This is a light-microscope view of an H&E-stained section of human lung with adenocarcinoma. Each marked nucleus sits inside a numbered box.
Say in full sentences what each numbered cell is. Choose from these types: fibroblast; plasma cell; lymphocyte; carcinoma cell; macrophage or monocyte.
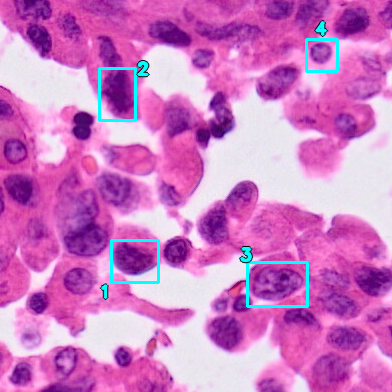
Cell 1 is a carcinoma cell, cell 2 is a carcinoma cell, cell 3 is a carcinoma cell and cell 4 is a lymphocyte.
